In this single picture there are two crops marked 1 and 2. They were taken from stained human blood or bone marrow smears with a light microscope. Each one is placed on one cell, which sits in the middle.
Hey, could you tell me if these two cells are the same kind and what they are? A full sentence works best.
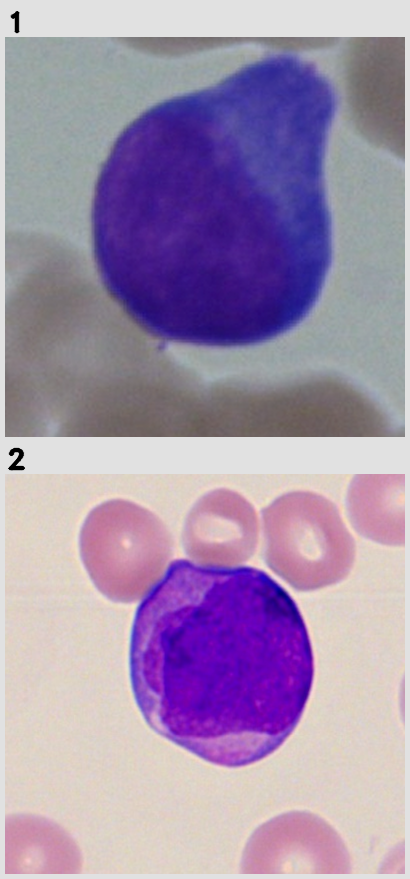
Yes, the centre of both crops is taken up by blasts.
